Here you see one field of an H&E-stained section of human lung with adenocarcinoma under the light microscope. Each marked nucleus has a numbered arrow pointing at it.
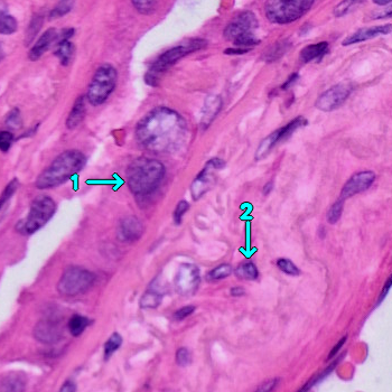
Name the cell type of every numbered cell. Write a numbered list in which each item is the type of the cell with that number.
1. carcinoma cell
2. smooth muscle cell or pericyte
